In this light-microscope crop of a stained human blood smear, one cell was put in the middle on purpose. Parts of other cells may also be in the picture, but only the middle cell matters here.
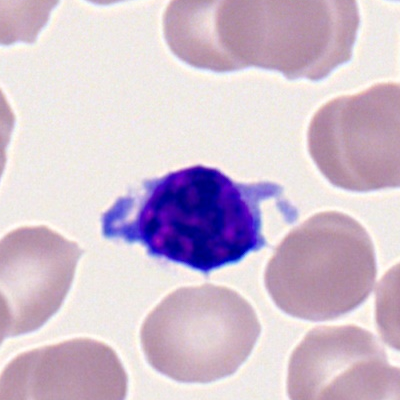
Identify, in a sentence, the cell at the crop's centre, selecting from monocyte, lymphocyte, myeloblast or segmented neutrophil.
In the centre of this crop there is a lymphocyte.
